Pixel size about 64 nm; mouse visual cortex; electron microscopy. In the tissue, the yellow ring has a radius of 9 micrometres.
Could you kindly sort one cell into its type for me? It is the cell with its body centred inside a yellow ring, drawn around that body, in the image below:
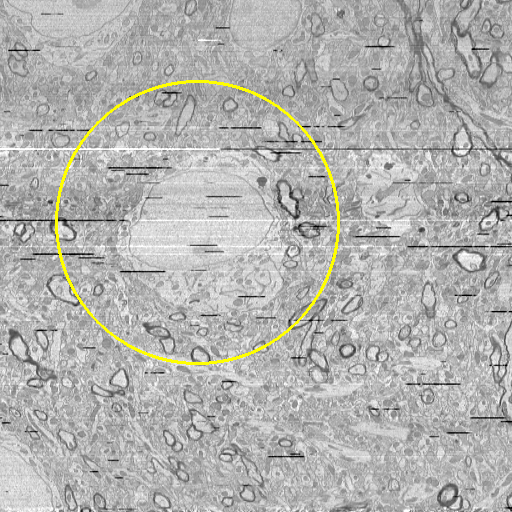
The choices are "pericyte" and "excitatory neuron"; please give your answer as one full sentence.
The cell whose body lies centred in the yellow ring here is an excitatory neuron.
